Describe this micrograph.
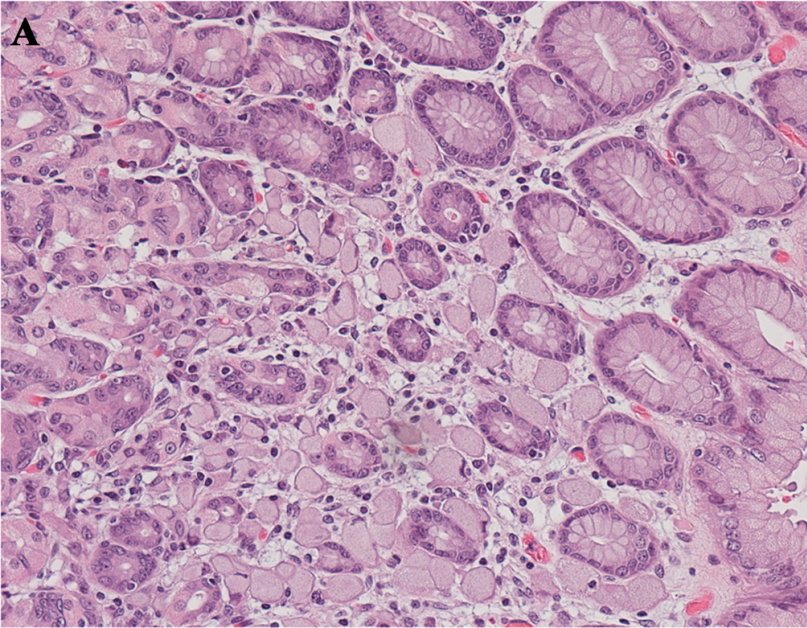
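This is gastric mucosa in which the lamina propria between the glands is infiltrated by numerous single, discohesive, rounded signet ring cells. Each of these cells has a large, pale pink-grey cytoplasmic mucin vacuole that fills most of the cell and pushes the nucleus to one side, where it appears compressed and crescentic. The infiltrating cells lie singly or in small loose groups, separating the glands. On the right, intact glands are lined by tall columnar mucin-containing epithelium with basal nuclei and narrow lumina. Small round lymphocytes and a few red blood cells are scattered in the stroma.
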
